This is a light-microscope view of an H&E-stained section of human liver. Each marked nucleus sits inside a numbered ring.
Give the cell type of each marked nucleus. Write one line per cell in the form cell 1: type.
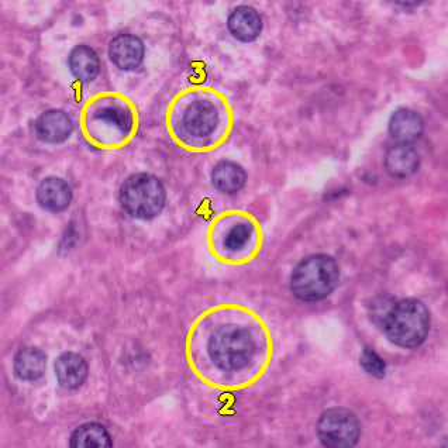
cell 1: endothelial cell
cell 2: hepatocyte
cell 3: hepatocyte
cell 4: lymphocyte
